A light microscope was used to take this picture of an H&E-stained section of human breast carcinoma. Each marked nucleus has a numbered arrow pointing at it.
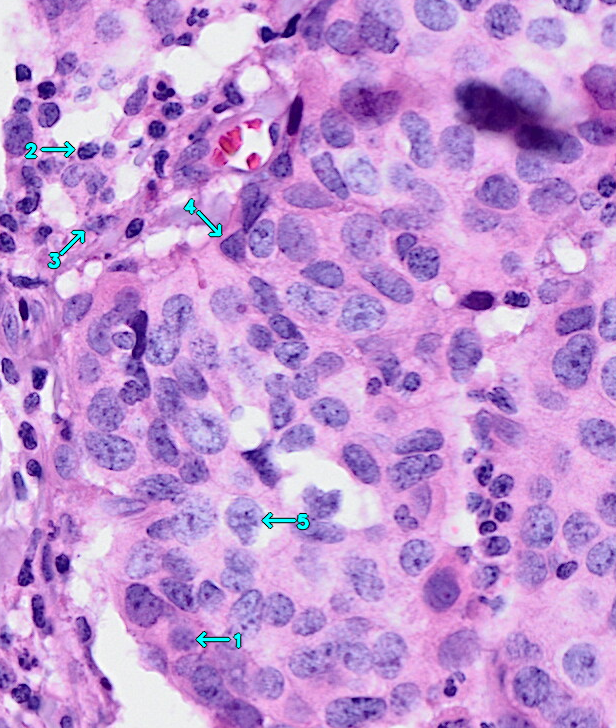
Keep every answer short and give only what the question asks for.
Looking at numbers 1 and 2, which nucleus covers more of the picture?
1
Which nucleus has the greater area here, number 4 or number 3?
4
